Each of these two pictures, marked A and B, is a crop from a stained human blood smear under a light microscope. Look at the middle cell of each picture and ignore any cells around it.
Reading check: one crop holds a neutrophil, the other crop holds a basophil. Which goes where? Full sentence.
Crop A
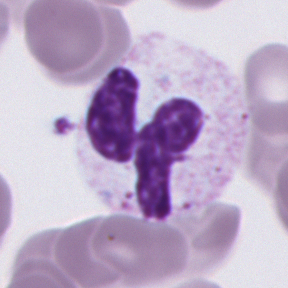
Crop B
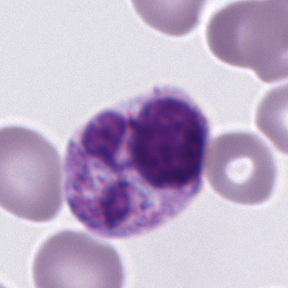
The cell in crop A is a neutrophil; the cell in crop B is a basophil.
